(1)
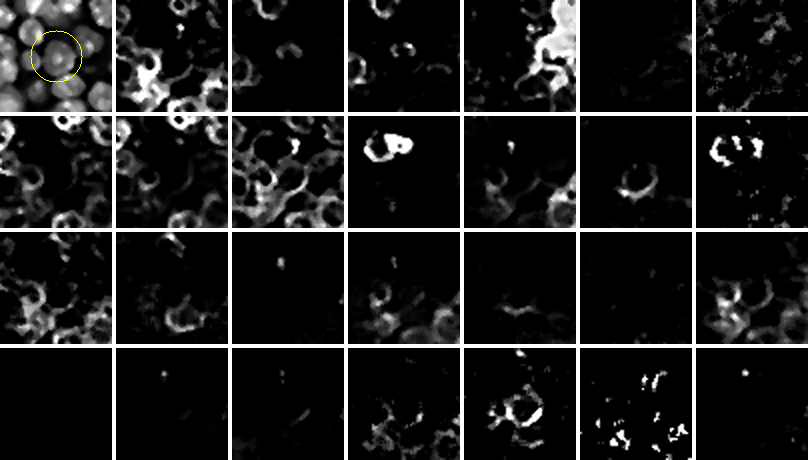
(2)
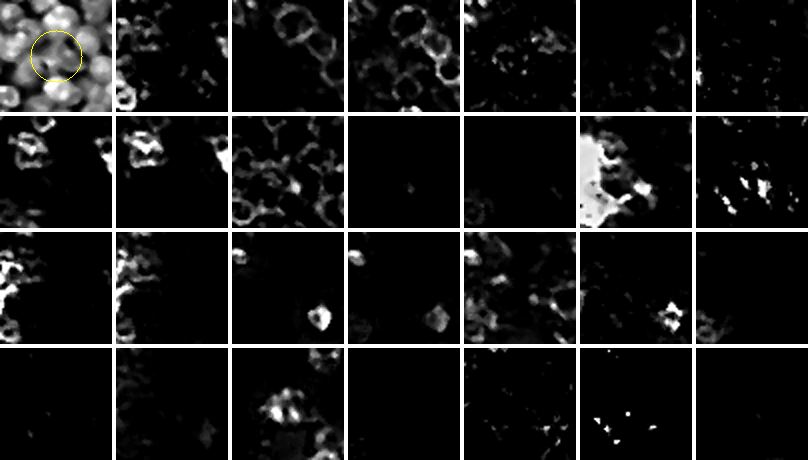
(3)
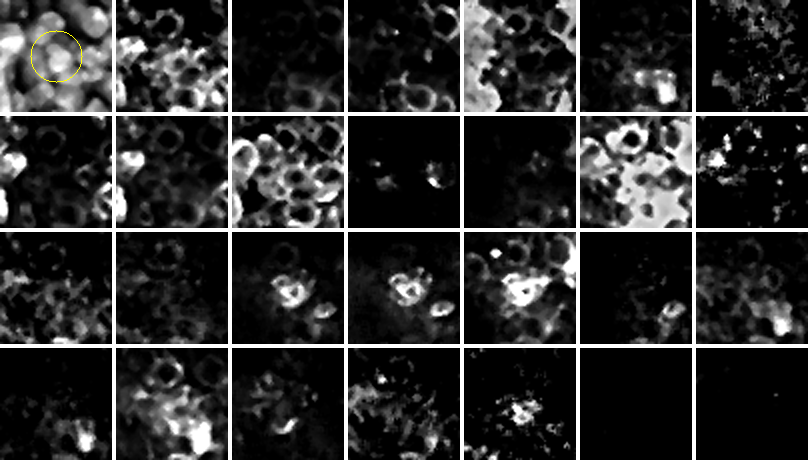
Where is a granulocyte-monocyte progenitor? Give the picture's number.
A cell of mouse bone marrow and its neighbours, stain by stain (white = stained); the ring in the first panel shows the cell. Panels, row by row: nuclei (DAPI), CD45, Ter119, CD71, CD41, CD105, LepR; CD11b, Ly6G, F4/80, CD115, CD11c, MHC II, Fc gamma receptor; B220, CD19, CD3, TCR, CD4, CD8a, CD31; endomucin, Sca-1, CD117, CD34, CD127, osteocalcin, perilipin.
2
